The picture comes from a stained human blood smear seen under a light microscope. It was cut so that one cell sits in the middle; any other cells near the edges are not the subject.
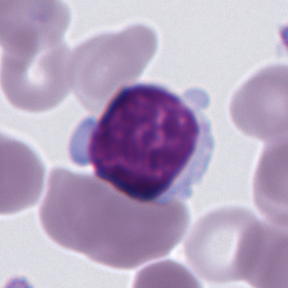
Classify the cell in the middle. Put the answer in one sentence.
The middle cell in this particular crop is a large granular lymphocyte.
